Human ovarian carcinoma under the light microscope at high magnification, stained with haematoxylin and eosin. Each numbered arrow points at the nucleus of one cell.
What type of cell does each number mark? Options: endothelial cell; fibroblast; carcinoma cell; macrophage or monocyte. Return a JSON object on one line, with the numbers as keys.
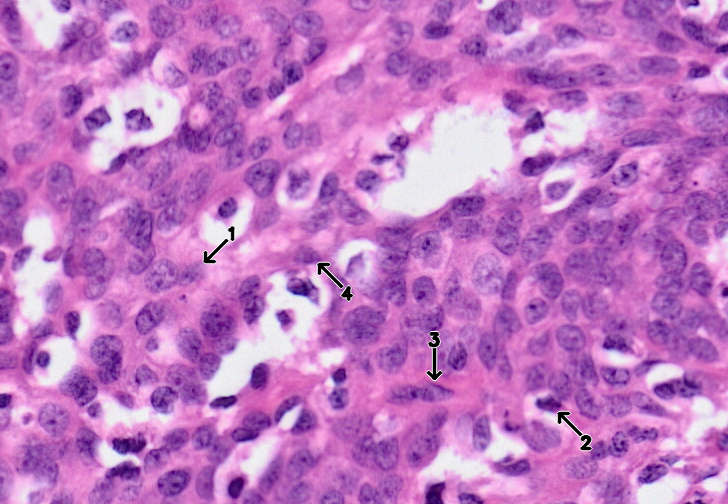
{"1": "carcinoma cell", "2": "carcinoma cell", "3": "endothelial cell", "4": "carcinoma cell"}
